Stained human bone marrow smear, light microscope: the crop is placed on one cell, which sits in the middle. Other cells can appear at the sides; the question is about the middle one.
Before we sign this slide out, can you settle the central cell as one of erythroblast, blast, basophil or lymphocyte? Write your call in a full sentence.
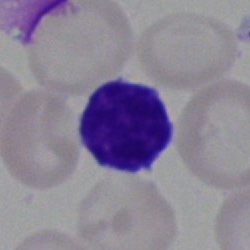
By type, the central cell of the crop is a lymphocyte.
